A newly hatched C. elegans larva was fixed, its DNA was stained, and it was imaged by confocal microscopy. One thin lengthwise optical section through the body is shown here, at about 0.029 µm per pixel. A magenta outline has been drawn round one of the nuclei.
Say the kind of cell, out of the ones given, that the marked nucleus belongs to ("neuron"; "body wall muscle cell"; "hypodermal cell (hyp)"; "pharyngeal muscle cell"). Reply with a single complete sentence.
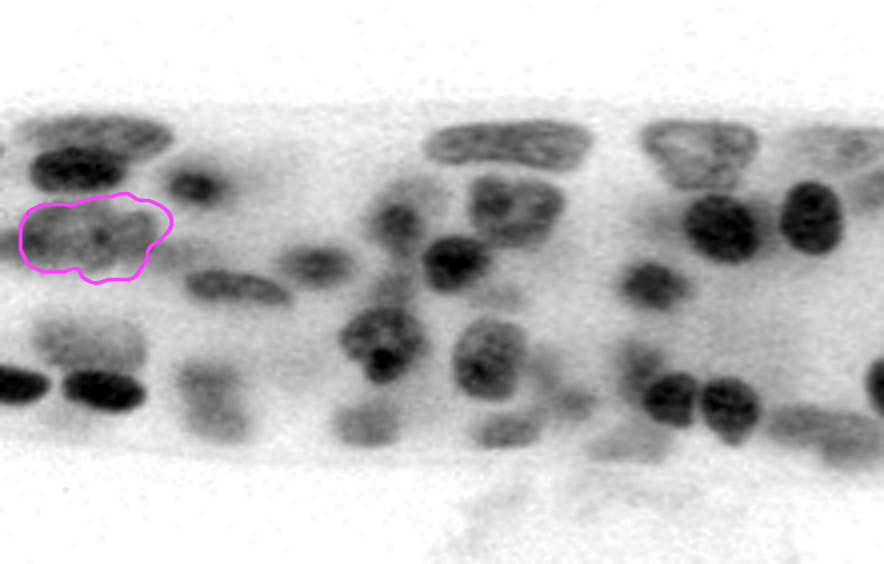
What is marked is the nucleus of a pharyngeal muscle cell.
